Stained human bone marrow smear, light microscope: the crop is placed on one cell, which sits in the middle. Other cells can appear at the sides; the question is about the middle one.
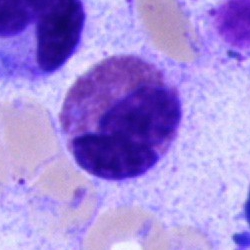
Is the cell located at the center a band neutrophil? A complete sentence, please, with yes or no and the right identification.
No, the middle cell is not a band neutrophil, it being an eosinophil.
